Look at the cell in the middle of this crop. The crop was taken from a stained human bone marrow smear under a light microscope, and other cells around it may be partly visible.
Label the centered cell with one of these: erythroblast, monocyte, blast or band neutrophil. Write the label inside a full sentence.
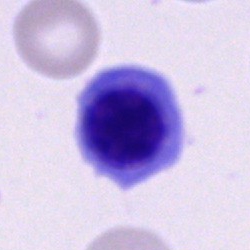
Classified as an erythroblast is the cell in the middle of this crop.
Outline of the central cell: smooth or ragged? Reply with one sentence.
Irregular rather than smooth, the cell margin shows ragged areas or projections.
